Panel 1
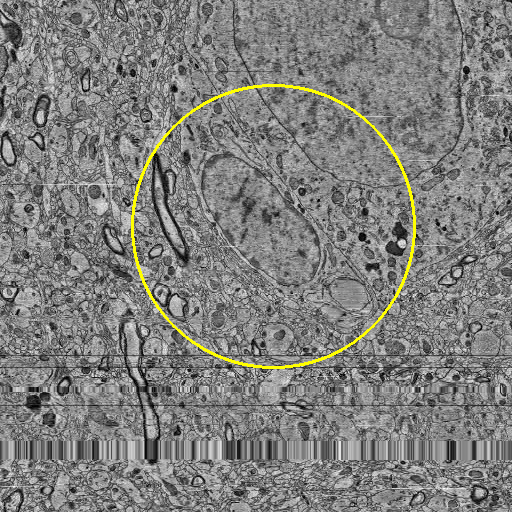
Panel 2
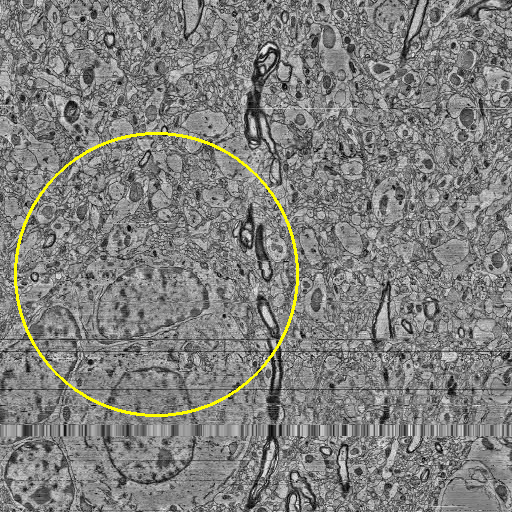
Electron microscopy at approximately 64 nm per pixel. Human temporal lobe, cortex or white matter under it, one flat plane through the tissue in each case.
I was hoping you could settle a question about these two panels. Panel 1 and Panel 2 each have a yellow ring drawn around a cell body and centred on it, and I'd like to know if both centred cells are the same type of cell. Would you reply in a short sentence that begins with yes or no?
Yes, both are the same type of cell.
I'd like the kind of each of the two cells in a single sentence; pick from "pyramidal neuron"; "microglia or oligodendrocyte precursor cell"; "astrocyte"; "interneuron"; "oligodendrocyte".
Both rings mark a microglial cell or oligodendrocyte precursor cell, one in each picture.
